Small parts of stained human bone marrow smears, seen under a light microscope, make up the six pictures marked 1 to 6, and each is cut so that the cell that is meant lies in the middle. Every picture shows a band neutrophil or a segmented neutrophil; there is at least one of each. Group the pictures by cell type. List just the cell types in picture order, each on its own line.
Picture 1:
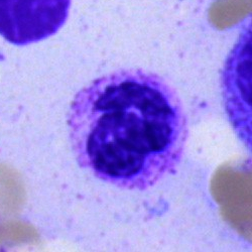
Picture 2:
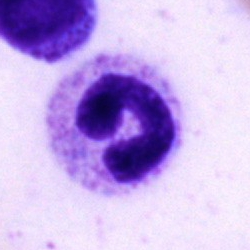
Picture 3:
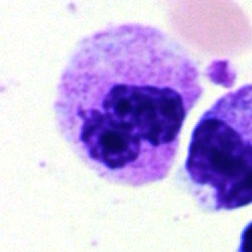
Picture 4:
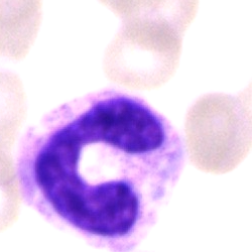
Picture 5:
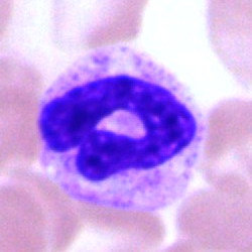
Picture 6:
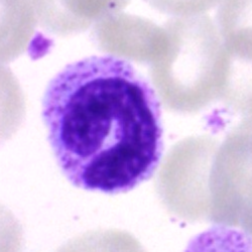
segmented neutrophil
band neutrophil
segmented neutrophil
band neutrophil
band neutrophil
band neutrophil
